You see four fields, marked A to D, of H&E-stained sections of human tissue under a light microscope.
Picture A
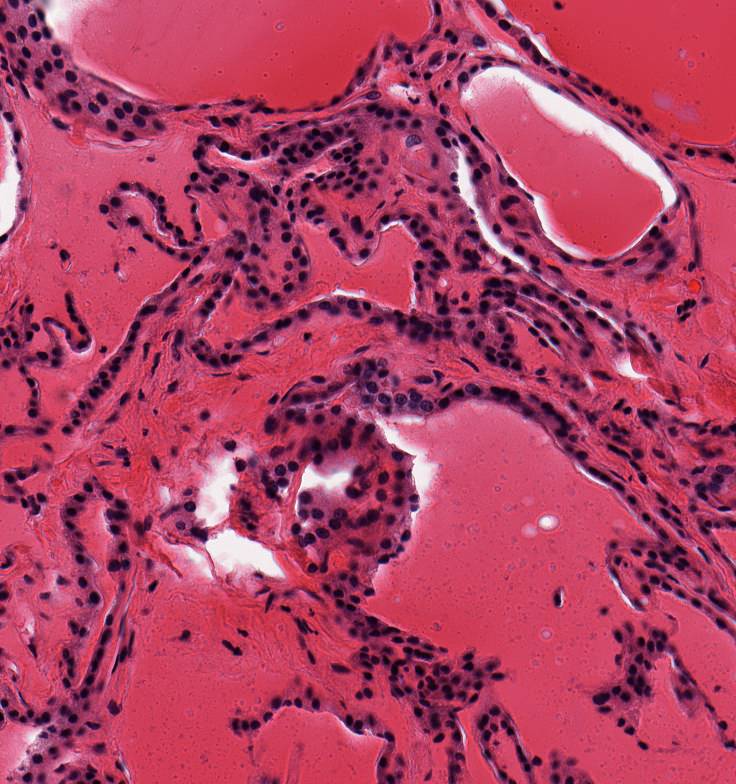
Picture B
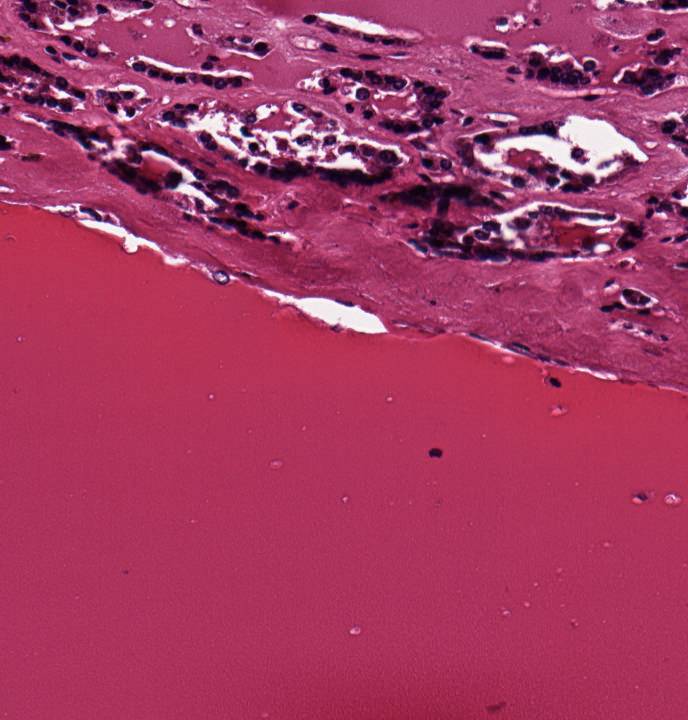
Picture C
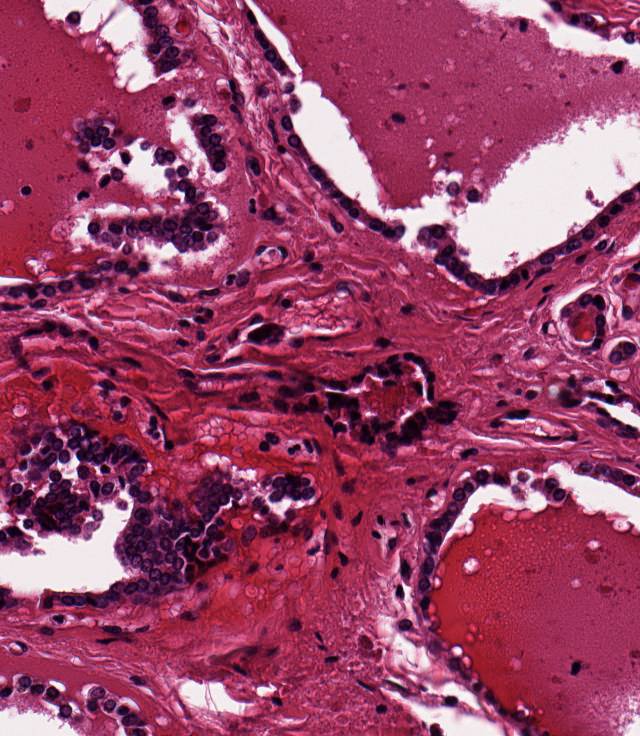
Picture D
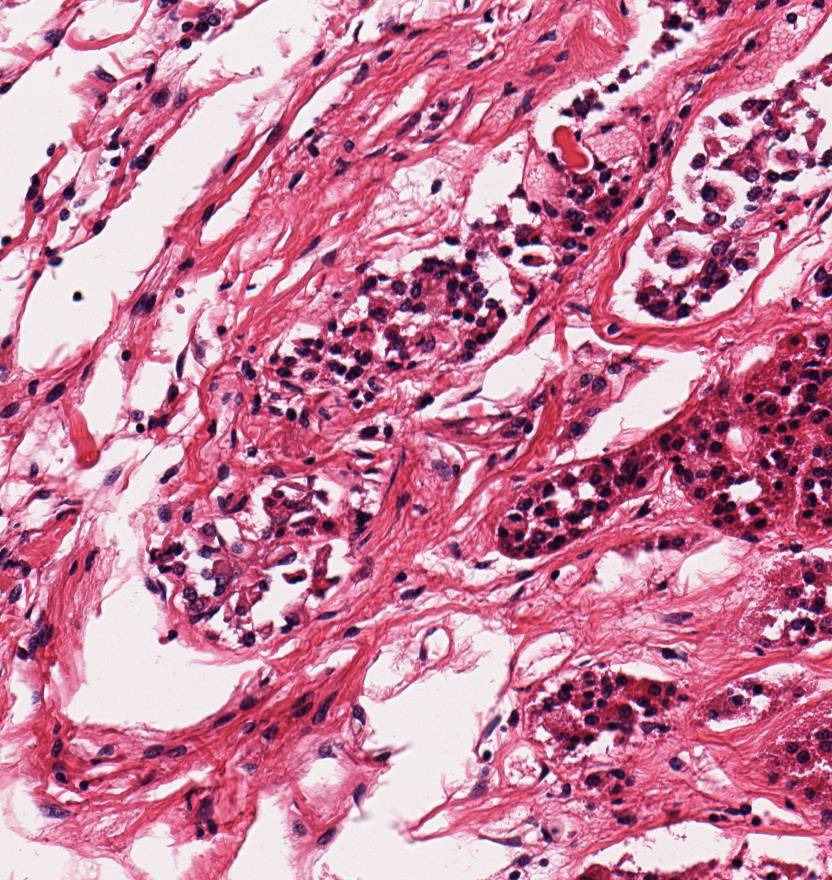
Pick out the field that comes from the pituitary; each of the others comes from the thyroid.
D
